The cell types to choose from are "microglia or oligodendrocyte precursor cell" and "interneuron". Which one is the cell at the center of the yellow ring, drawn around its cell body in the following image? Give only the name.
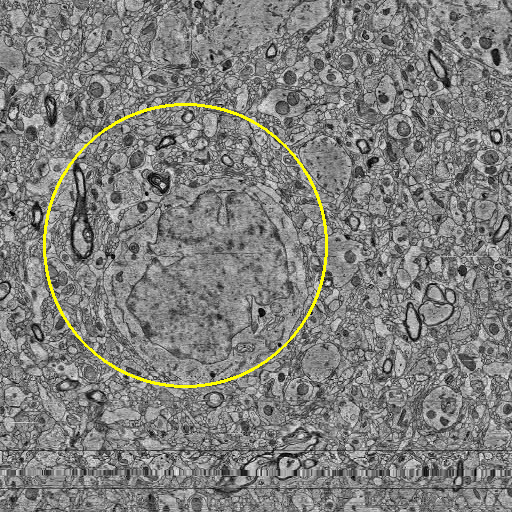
interneuron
